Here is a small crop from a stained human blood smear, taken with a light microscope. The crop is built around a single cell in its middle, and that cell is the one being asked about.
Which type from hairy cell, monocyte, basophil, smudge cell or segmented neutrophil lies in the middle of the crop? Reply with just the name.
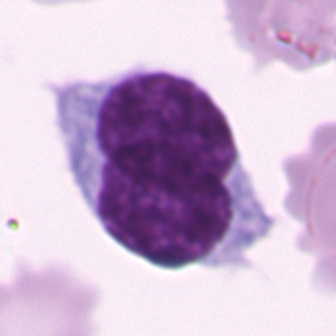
hairy cell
